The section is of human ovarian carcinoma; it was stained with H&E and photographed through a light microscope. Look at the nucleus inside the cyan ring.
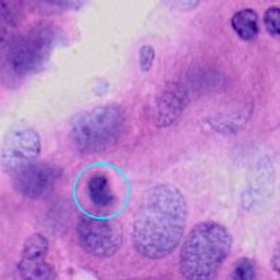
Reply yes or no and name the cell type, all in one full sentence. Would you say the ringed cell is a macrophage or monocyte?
No, the ringed cell is recognized as a lymphocyte rather than a macrophage or monocyte.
